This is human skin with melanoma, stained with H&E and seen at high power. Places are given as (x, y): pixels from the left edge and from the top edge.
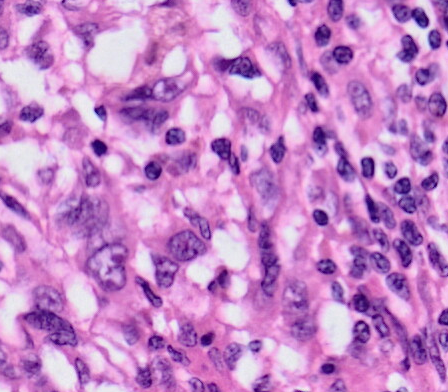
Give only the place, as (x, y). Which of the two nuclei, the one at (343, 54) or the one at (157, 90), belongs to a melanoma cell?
(157, 90)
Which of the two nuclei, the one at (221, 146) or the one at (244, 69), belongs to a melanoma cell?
(244, 69)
